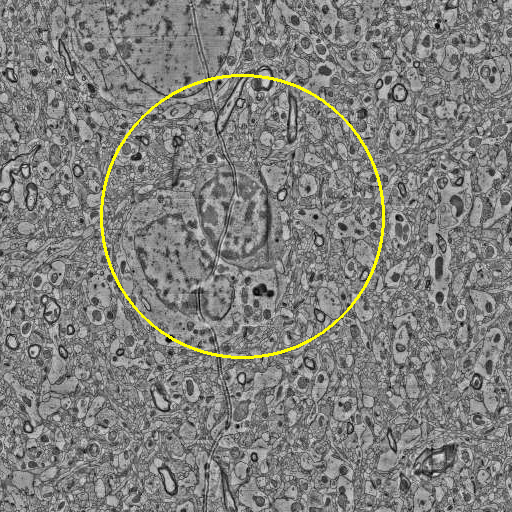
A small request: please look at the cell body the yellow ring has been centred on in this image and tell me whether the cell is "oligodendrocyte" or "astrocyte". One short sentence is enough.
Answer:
The cell marked by the ring is an oligodendrocyte.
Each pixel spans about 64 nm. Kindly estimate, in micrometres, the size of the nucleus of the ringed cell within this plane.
In this plane, roughly 5 micrometres across.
